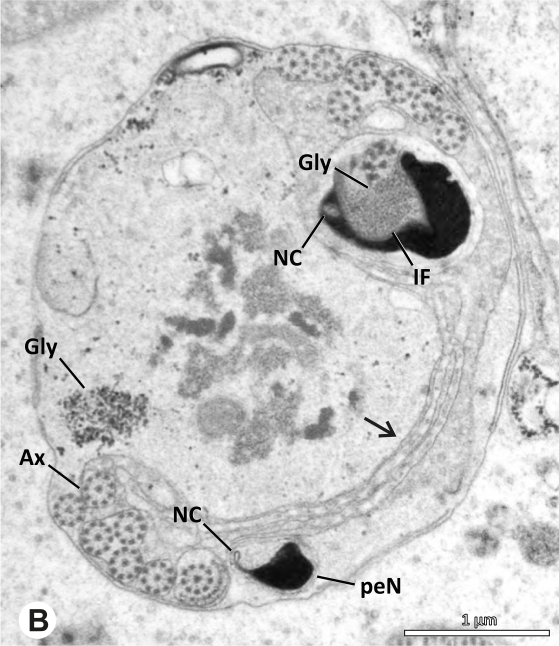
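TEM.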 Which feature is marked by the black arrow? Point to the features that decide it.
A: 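Several thin parallel membranes run alongside one another where the arrow points. They follow the curved outline of the cell.
Answer: stacks of membranes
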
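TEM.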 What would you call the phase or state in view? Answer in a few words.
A: Coiled spermatid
